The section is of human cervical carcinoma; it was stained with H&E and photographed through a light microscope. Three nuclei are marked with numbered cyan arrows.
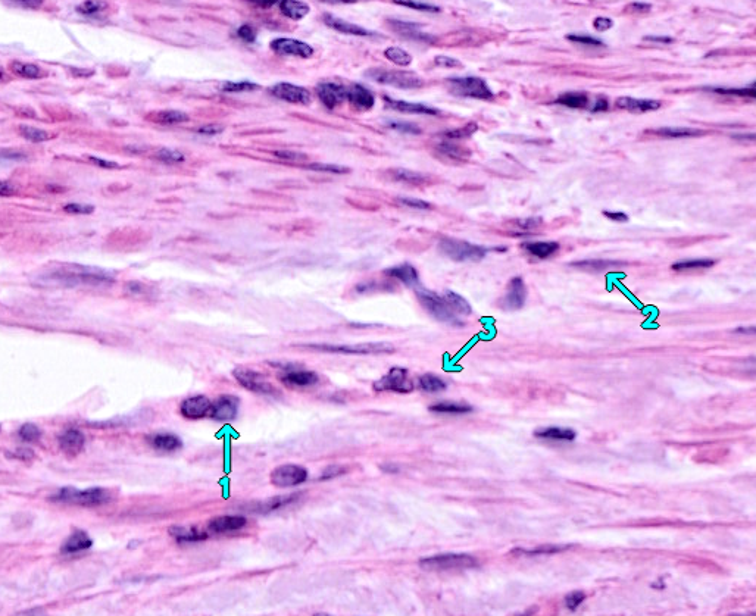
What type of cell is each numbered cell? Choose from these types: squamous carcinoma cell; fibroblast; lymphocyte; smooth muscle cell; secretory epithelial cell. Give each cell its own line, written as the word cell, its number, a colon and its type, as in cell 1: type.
cell 1: lymphocyte
cell 2: fibroblast
cell 3: lymphocyte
